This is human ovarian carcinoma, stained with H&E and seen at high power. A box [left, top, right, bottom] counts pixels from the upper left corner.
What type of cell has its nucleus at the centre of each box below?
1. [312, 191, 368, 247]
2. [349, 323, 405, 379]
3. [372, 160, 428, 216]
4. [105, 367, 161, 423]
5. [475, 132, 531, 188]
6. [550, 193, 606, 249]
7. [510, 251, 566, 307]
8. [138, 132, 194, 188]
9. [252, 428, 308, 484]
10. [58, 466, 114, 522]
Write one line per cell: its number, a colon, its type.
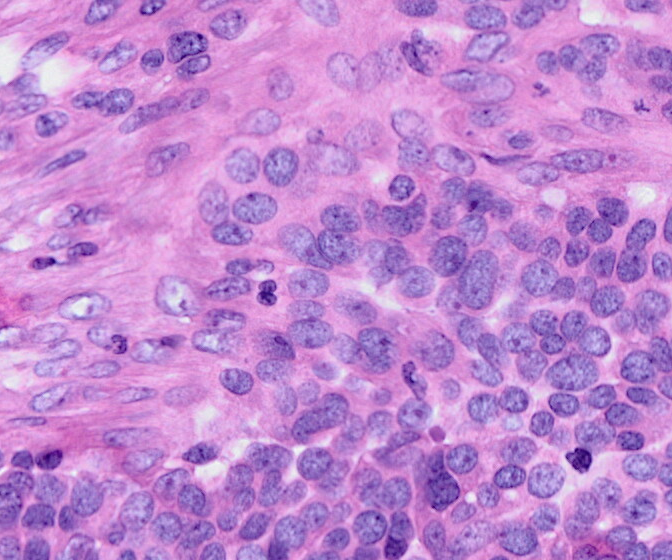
1: carcinoma cell
2: carcinoma cell
3: macrophage or monocyte
4: fibroblast
5: fibroblast
6: carcinoma cell
7: carcinoma cell
8: fibroblast
9: carcinoma cell
10: carcinoma cell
